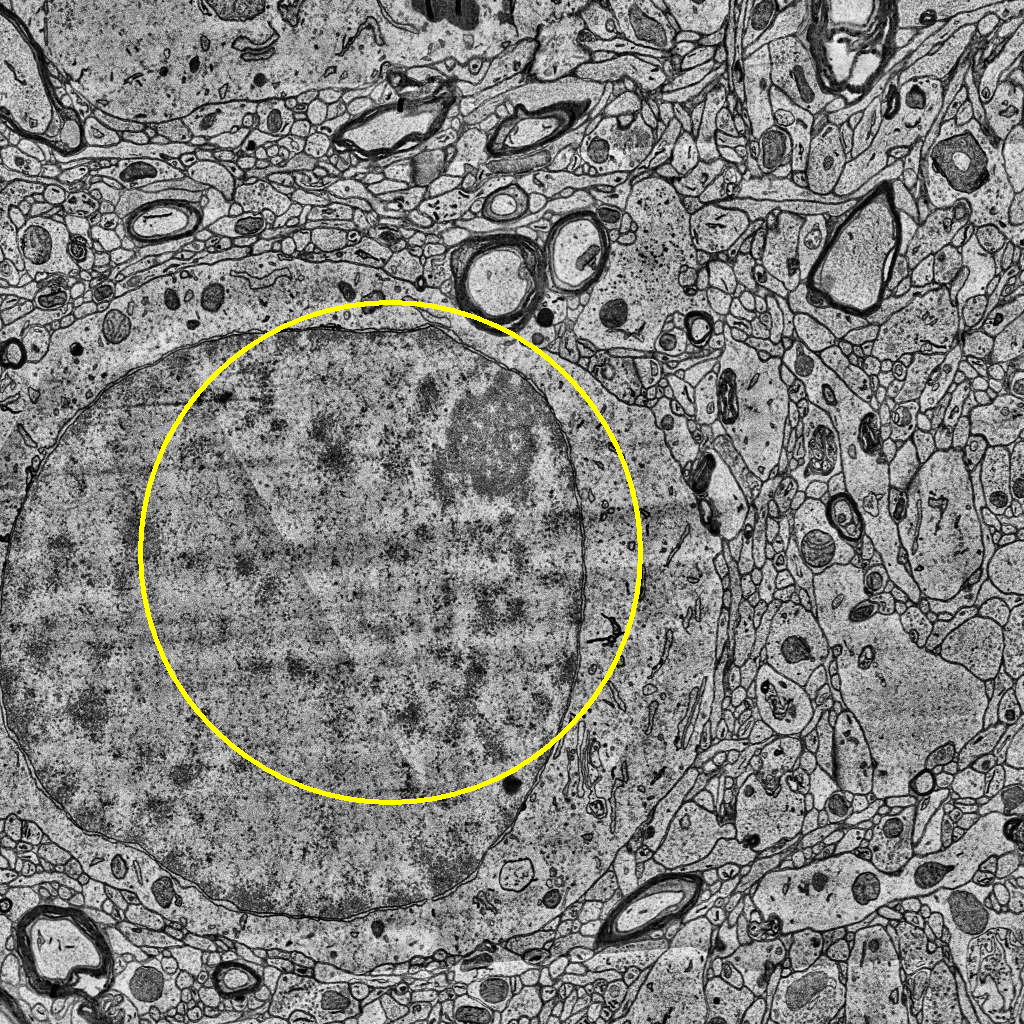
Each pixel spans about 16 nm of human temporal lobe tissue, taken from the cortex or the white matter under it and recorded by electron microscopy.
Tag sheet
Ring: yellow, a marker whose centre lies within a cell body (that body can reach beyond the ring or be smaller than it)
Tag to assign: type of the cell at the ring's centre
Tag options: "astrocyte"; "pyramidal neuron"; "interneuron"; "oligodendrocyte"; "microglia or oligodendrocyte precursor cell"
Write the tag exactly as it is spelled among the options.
interneuron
